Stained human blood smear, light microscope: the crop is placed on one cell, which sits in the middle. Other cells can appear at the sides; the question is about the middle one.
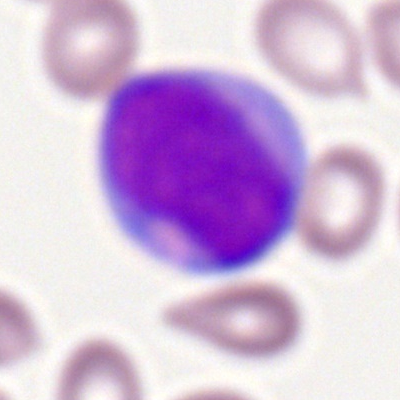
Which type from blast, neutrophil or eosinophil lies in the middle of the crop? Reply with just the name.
blast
